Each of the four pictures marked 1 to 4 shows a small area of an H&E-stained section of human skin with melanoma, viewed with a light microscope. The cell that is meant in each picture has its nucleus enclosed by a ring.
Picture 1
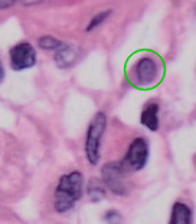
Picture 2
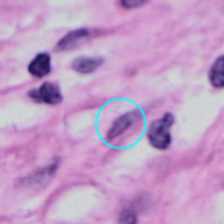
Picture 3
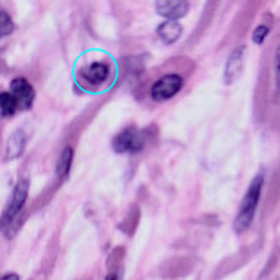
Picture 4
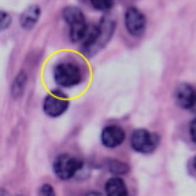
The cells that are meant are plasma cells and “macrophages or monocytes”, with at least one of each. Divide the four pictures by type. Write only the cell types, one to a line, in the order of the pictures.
macrophage or monocyte
macrophage or monocyte
plasma cell
plasma cell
